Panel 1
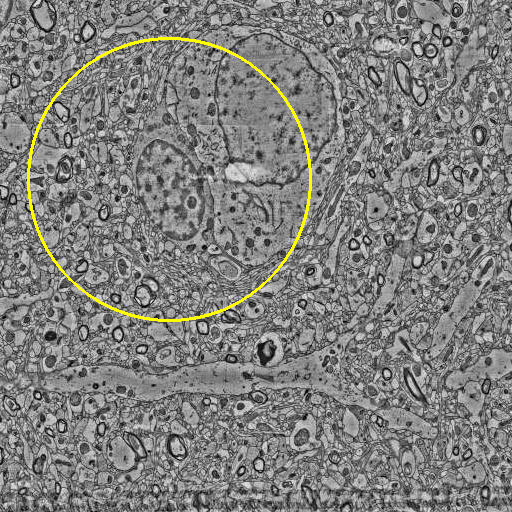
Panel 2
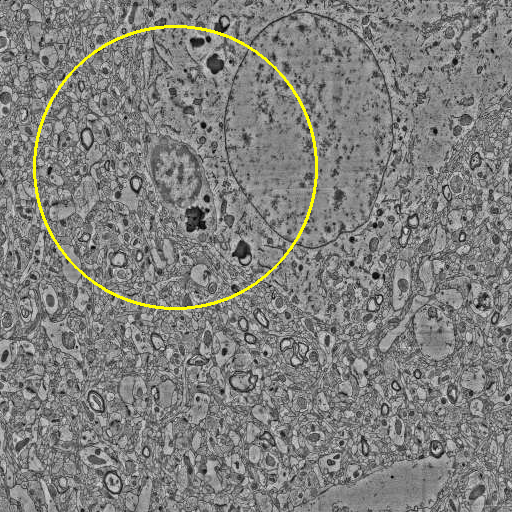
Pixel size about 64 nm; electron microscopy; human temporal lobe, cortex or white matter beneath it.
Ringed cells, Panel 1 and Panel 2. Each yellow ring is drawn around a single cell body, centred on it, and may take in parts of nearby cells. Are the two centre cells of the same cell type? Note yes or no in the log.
yes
